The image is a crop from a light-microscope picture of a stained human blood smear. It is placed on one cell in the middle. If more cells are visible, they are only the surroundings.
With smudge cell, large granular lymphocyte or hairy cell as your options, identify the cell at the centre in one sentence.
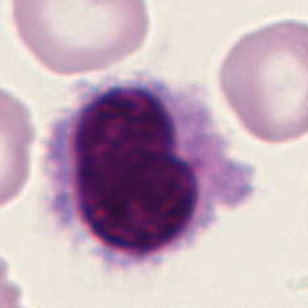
In the middle of this smear crop, the cell is a hairy cell.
